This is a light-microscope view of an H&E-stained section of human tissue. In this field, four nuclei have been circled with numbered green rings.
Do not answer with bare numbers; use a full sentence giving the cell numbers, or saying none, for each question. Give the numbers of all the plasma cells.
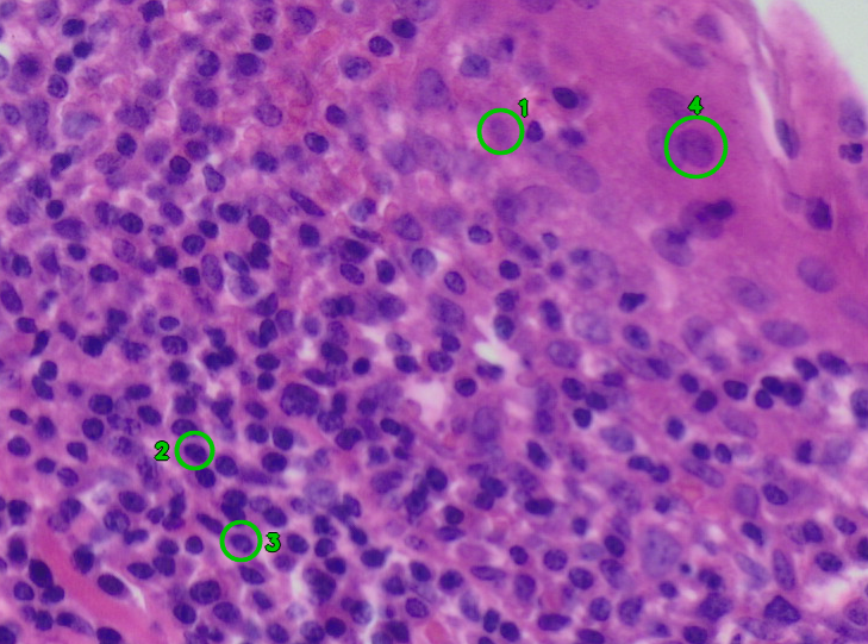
The cells assigned the numbers 2 and 3 are plasma cells.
